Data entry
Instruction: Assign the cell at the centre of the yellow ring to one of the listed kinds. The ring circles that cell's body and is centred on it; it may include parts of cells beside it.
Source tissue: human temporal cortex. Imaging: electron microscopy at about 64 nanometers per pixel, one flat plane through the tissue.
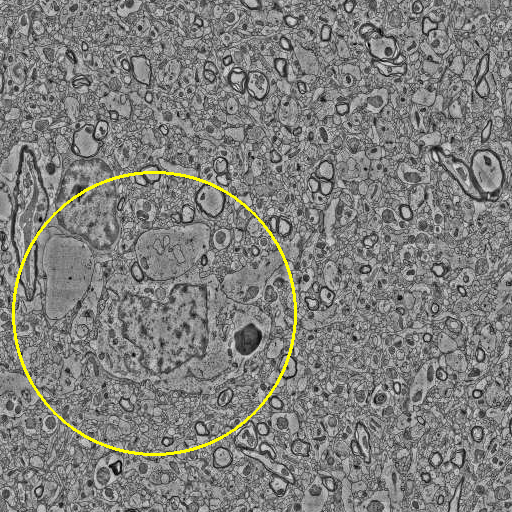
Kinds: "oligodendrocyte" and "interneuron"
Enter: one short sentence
The centre of the ring falls on an interneuron.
